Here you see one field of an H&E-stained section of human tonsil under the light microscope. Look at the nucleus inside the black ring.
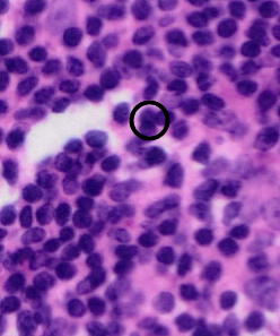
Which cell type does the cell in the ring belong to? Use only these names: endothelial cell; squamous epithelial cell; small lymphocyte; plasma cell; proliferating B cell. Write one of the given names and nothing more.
small lymphocyte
